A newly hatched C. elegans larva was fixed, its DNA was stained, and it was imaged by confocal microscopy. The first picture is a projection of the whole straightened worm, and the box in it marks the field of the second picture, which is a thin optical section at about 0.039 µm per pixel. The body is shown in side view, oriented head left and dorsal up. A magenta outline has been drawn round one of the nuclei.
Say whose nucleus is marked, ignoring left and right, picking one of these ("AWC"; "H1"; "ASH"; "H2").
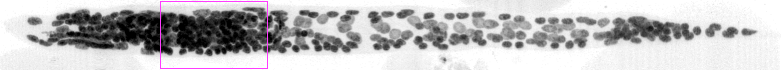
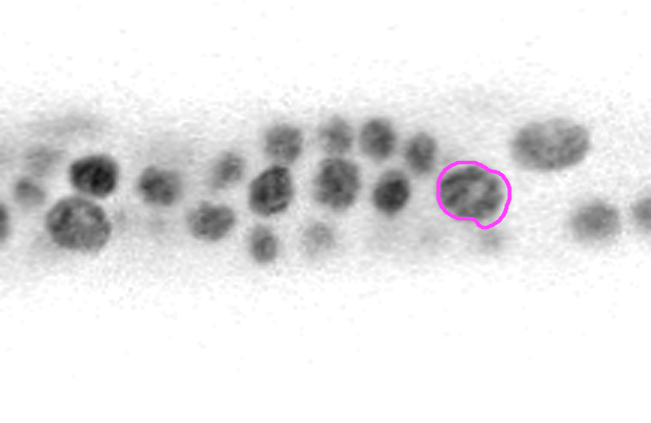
H2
